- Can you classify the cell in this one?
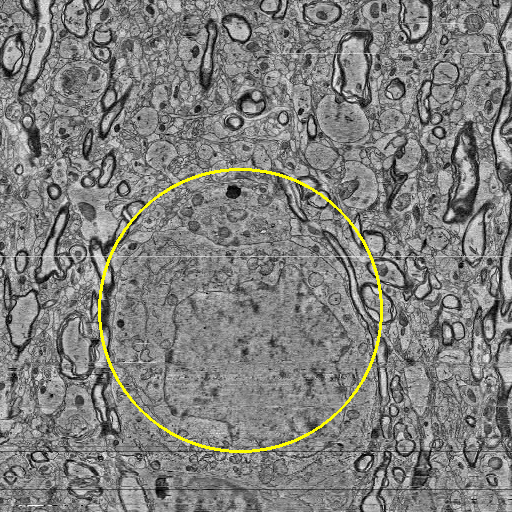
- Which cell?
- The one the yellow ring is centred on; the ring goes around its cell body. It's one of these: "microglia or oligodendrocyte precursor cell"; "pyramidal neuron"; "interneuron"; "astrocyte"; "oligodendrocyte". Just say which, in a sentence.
The cell body in the ring belongs to an interneuron.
